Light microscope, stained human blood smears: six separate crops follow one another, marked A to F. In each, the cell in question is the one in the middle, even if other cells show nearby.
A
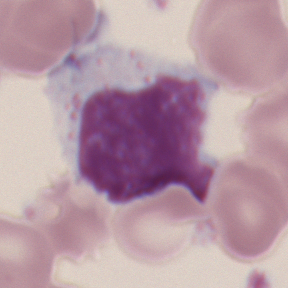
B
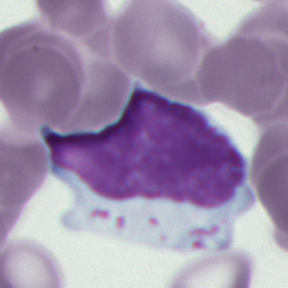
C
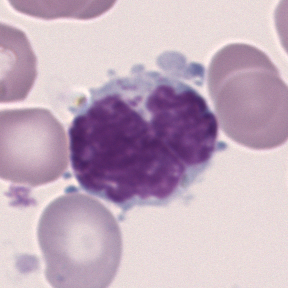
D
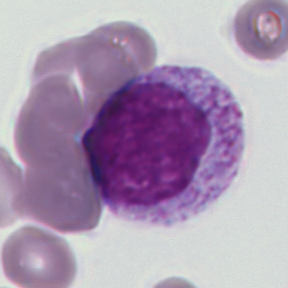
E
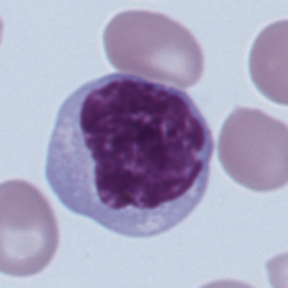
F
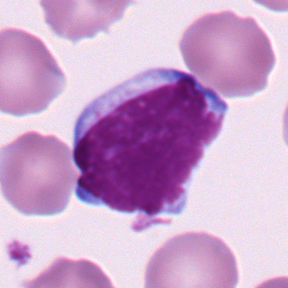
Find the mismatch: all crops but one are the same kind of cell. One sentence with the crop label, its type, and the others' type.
The exception in this group is crop D, a myelocyte, and the others are all large granular lymphocytes.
